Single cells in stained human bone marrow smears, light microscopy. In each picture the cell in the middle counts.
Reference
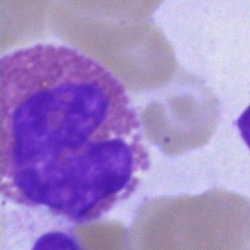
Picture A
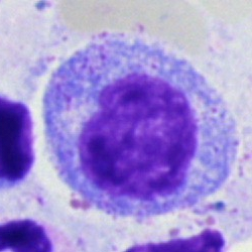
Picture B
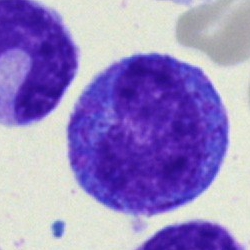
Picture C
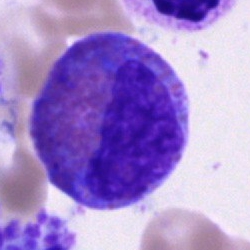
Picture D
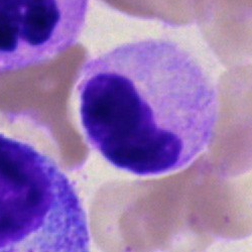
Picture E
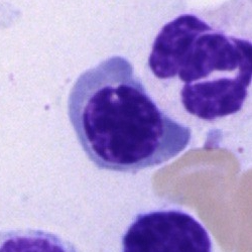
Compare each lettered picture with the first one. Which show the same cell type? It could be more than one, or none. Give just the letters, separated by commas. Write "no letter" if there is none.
C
